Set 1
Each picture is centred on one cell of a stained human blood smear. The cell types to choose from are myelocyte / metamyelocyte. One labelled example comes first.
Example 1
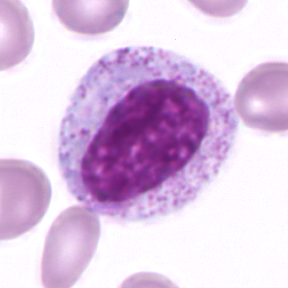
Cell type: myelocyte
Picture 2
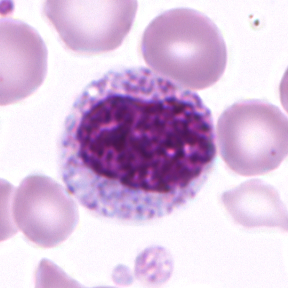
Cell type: metamyelocyte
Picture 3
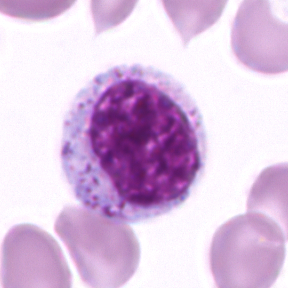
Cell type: metamyelocyte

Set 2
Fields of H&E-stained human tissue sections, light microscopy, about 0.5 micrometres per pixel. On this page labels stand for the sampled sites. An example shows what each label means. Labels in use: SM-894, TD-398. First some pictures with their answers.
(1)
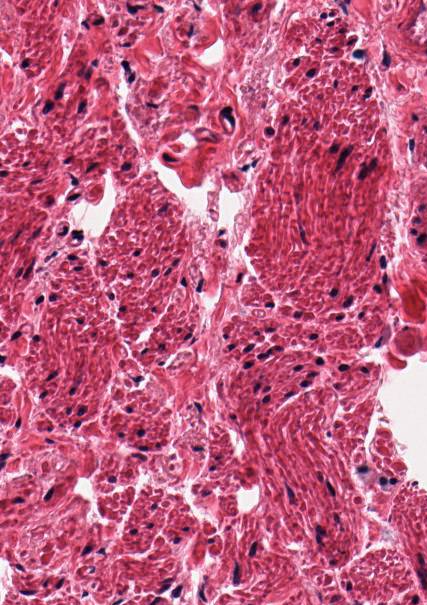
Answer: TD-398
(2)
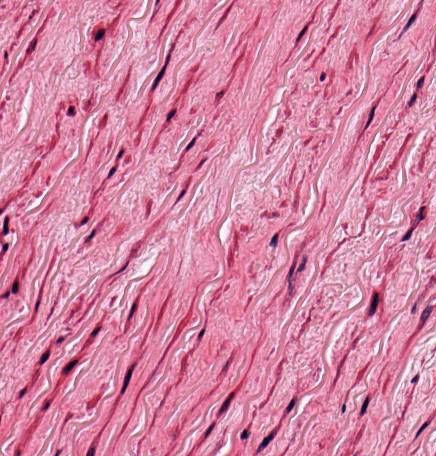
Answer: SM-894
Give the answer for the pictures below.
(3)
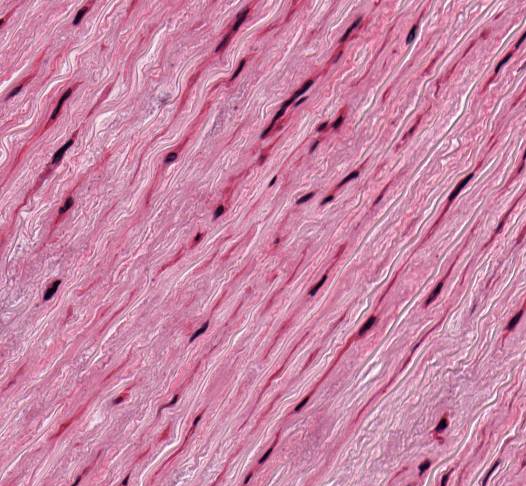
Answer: SM-894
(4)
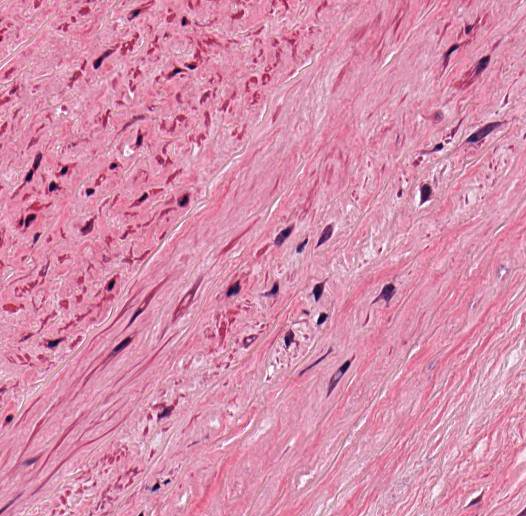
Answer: SM-894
